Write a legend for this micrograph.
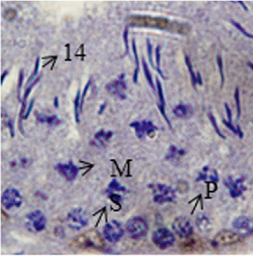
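This is seminiferous epithelium of the testis with a layer of cells in meiotic division. Many cells in the middle of the epithelium show clumped dark blue condensed chromosomes without a nuclear outline, while slender dark elongated spermatid heads point toward the lumen above. Small dark nuclei line the base of the epithelium.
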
